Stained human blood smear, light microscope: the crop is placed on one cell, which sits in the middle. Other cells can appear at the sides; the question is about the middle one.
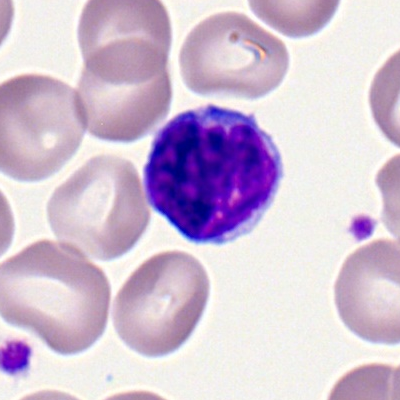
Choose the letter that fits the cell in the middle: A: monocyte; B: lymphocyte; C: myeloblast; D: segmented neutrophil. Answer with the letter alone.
B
